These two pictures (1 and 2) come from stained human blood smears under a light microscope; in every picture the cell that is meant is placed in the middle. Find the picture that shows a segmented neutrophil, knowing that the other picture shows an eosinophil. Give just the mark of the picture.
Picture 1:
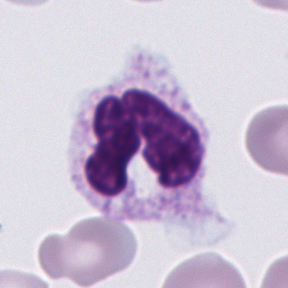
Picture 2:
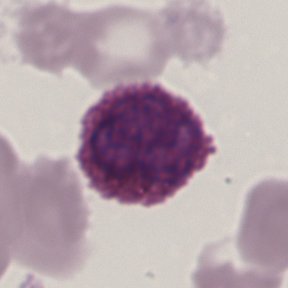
1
